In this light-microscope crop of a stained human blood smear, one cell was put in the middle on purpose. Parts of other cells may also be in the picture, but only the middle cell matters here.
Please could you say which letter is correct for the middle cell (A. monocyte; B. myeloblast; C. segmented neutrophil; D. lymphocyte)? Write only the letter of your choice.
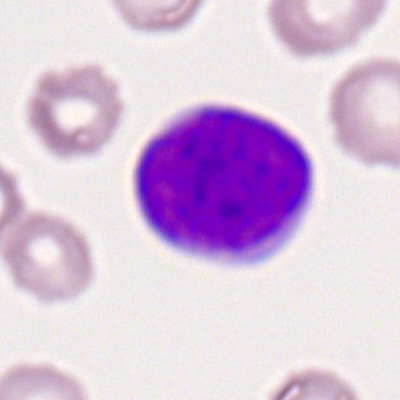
B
